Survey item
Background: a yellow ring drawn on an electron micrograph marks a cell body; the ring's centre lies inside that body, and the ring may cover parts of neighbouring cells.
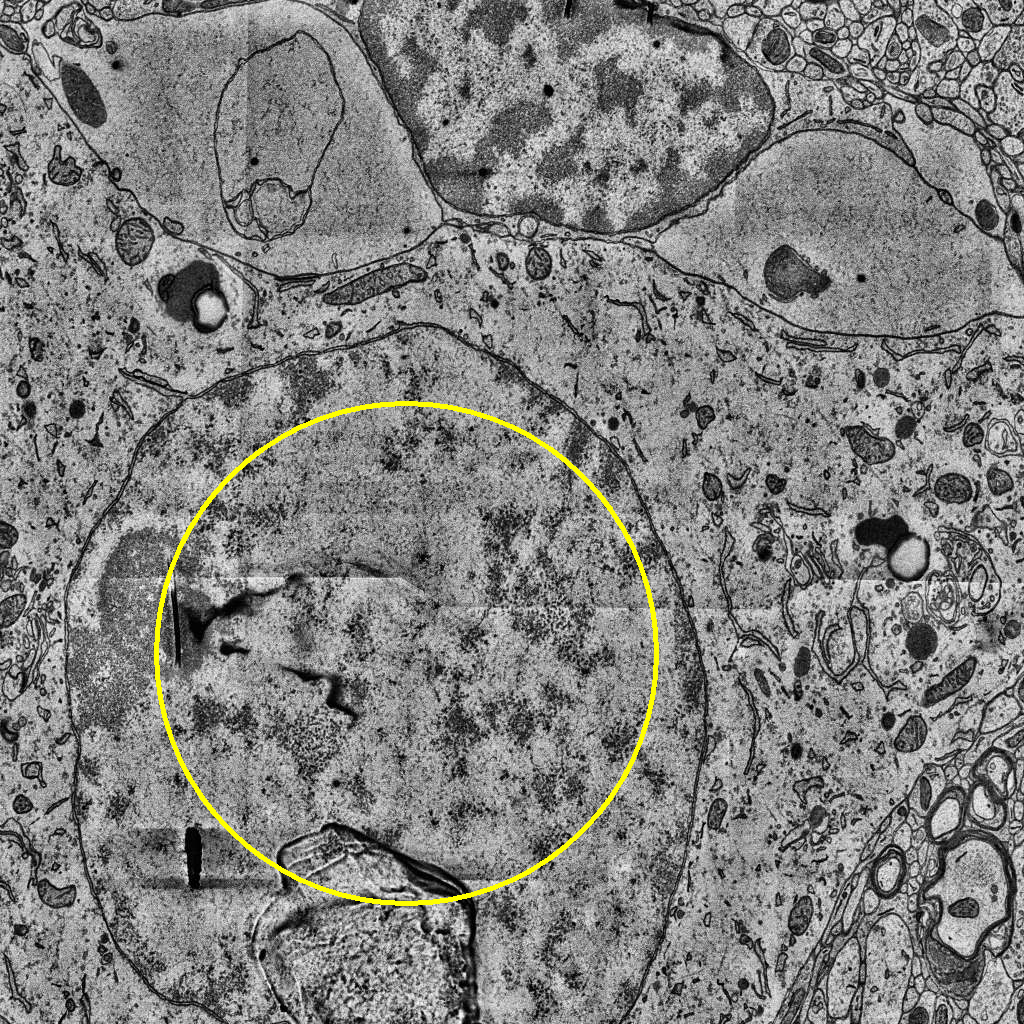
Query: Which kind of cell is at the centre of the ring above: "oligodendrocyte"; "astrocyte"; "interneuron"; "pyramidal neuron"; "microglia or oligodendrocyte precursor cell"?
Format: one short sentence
The cell in the middle of the ring is a pyramidal neuron.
